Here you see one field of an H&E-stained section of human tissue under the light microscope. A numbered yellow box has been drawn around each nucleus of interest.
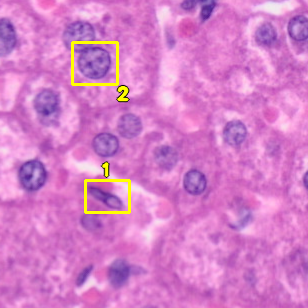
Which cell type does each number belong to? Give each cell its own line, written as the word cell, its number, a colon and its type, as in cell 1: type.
cell 1: Kupffer cell
cell 2: hepatocyte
